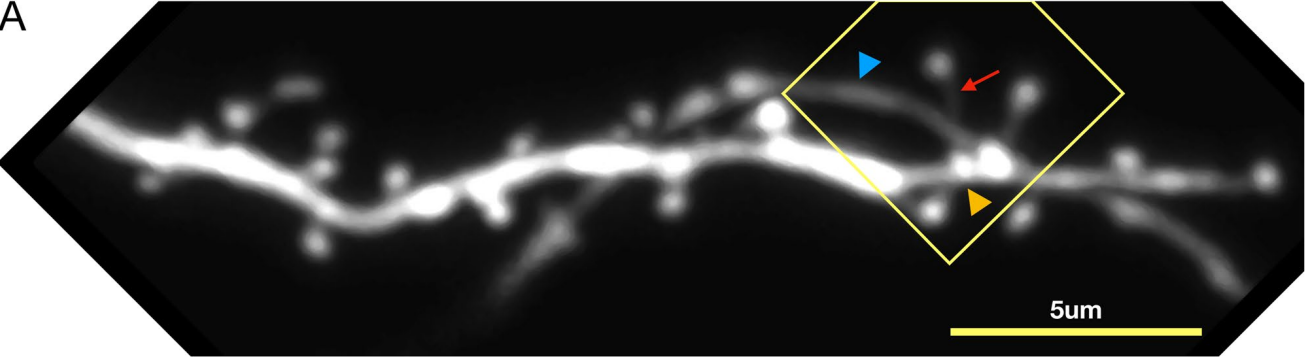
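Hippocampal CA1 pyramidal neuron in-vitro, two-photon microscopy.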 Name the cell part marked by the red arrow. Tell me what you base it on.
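A thin, faint stalk runs from a small round head down toward a thicker branch. The stalk is much narrower than the branches around it.
Conclusion: spine neck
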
